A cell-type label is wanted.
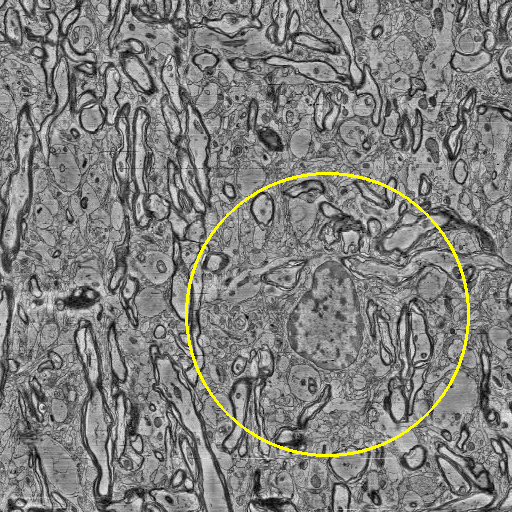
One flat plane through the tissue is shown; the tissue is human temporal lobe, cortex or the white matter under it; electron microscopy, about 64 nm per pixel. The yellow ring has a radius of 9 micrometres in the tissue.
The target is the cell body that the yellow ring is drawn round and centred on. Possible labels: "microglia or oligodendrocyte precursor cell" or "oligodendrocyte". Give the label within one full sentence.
Of the labels offered, the cell in the middle of the yellow ring is a microglial cell or oligodendrocyte precursor cell.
